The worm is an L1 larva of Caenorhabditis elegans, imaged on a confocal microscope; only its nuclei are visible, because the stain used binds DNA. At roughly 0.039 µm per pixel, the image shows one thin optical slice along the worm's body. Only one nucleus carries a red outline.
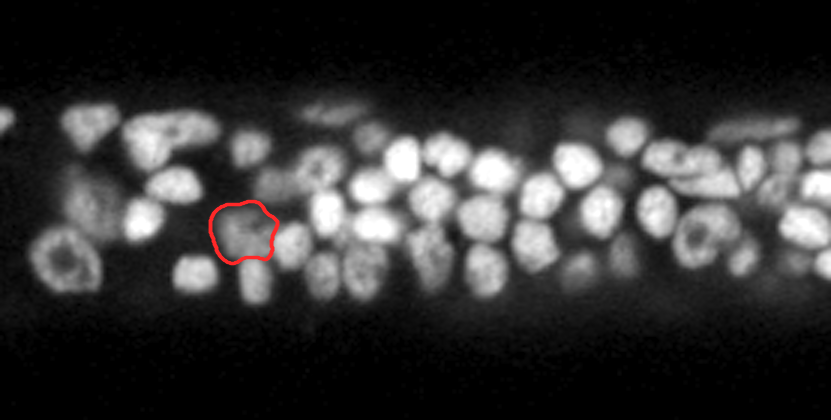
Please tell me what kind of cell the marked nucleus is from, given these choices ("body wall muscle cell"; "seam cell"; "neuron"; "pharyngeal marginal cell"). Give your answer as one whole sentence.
It is the nucleus of a seam cell.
